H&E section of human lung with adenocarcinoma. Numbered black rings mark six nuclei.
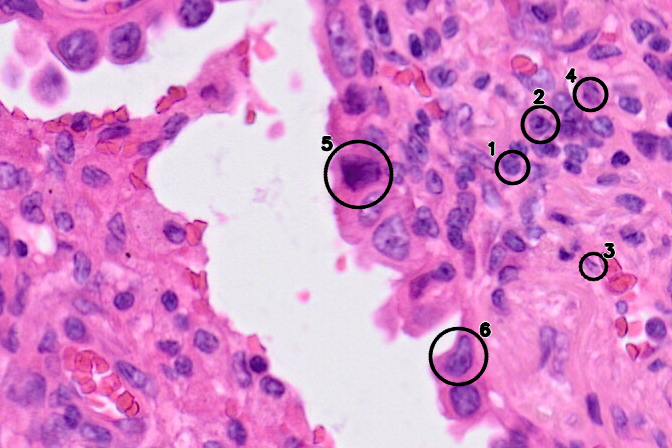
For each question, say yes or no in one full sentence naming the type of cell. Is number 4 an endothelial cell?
No, number 4 is not an endothelial cell; it is a plasma cell.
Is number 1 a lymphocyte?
Yes, the numbered nucleus 1 is that of a lymphocyte.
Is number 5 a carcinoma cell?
Yes, the one numbered 5 is a carcinoma cell.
